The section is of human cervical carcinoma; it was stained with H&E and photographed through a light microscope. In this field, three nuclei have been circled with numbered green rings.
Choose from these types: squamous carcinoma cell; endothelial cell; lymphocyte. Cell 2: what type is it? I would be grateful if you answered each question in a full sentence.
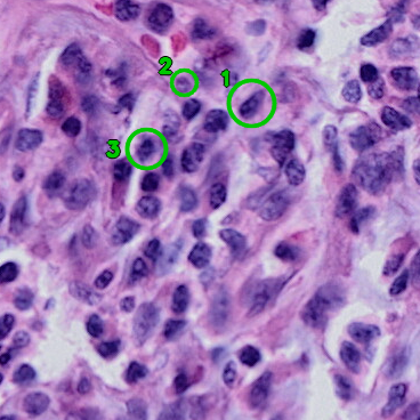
The numbered cell 2 is identified here as an endothelial cell.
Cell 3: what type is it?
The numbered cell 3 is identified here as a lymphocyte.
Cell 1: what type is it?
The cell numbered 1 has been identified as a lymphocyte.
